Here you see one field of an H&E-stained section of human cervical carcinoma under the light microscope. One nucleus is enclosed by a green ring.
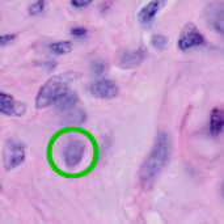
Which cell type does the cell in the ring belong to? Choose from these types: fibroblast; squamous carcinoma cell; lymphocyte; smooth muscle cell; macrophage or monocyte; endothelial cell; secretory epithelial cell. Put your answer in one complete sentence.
Placed in its cell category, the cell in the ring is a fibroblast.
